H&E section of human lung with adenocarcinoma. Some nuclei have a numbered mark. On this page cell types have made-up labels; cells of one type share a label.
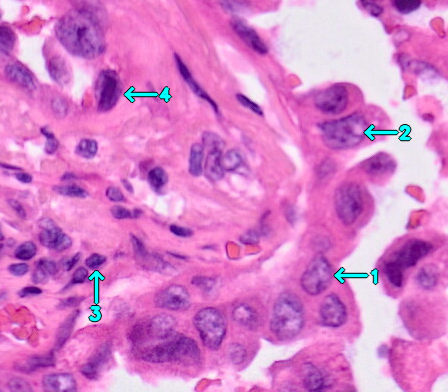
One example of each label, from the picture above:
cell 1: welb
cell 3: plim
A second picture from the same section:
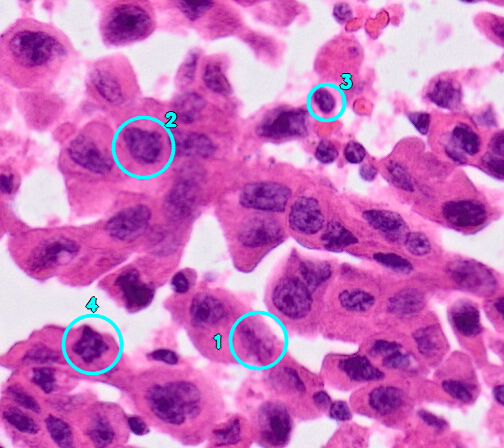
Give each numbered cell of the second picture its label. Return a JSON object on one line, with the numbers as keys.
{"1": "welb", "2": "welb", "3": "plim", "4": "welb"}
